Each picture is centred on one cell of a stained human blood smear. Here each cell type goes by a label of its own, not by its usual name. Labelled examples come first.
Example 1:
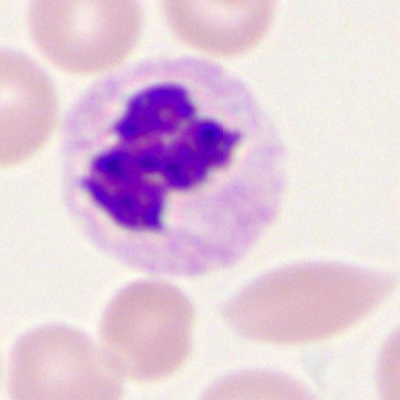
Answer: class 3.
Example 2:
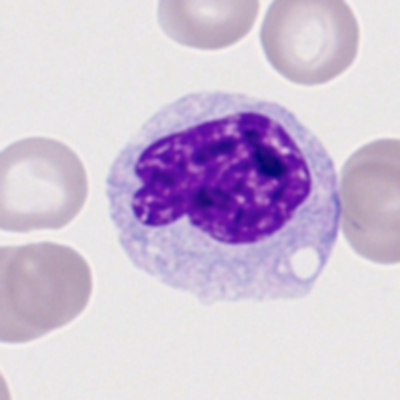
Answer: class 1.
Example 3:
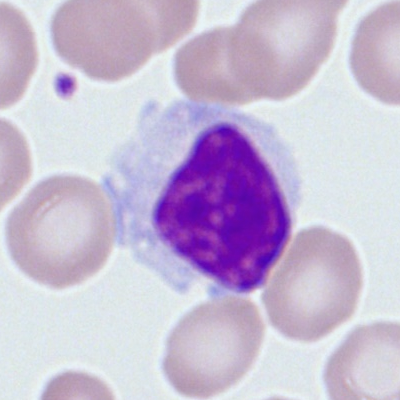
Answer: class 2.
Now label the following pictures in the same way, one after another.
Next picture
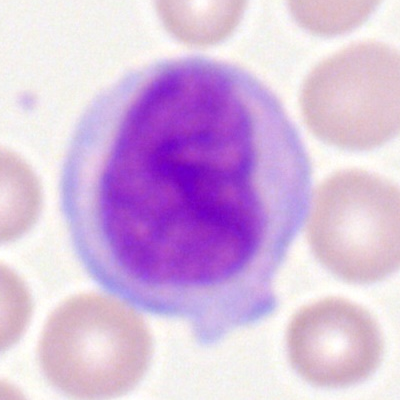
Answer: class 1.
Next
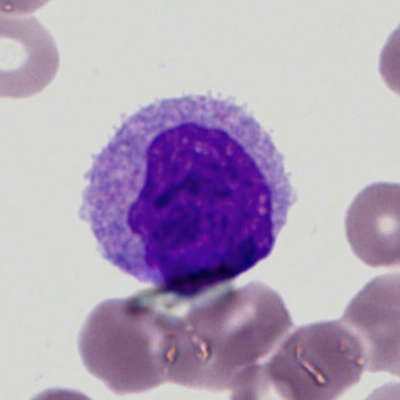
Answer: class 1.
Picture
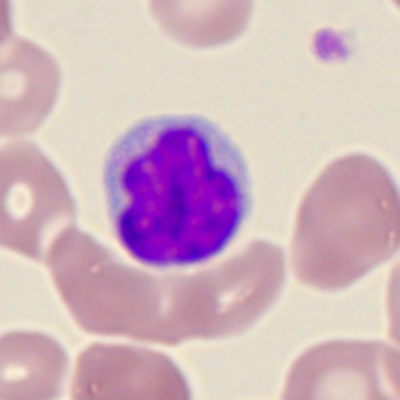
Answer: class 2.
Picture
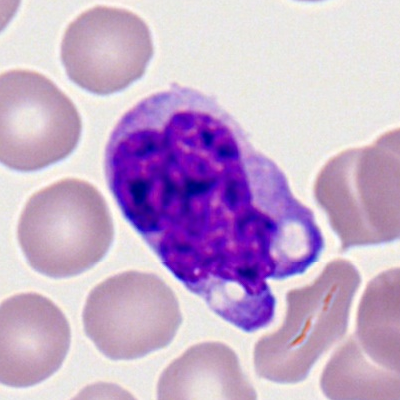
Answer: class 1.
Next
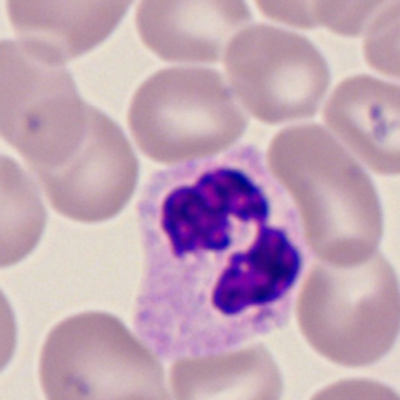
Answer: class 3.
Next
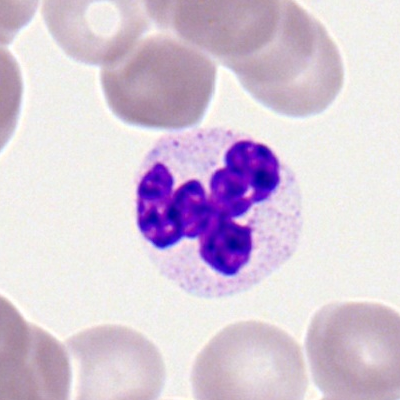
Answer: class 3.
